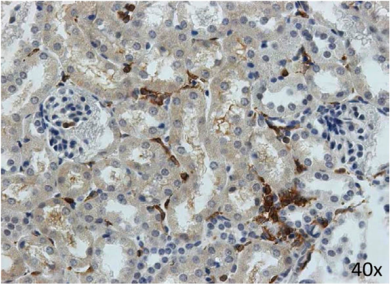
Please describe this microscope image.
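This section shows cross-sections of tubules lined by epithelial cells with round blue nuclei and pale cytoplasm, with a round tuft of densely packed nuclei at the upper left. Between the tubules lie irregular, dark brown-stained cells, gathered into small clusters in the interstitium, most densely toward the lower right. This interstitial cell infiltration stands out against the pale tubules.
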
